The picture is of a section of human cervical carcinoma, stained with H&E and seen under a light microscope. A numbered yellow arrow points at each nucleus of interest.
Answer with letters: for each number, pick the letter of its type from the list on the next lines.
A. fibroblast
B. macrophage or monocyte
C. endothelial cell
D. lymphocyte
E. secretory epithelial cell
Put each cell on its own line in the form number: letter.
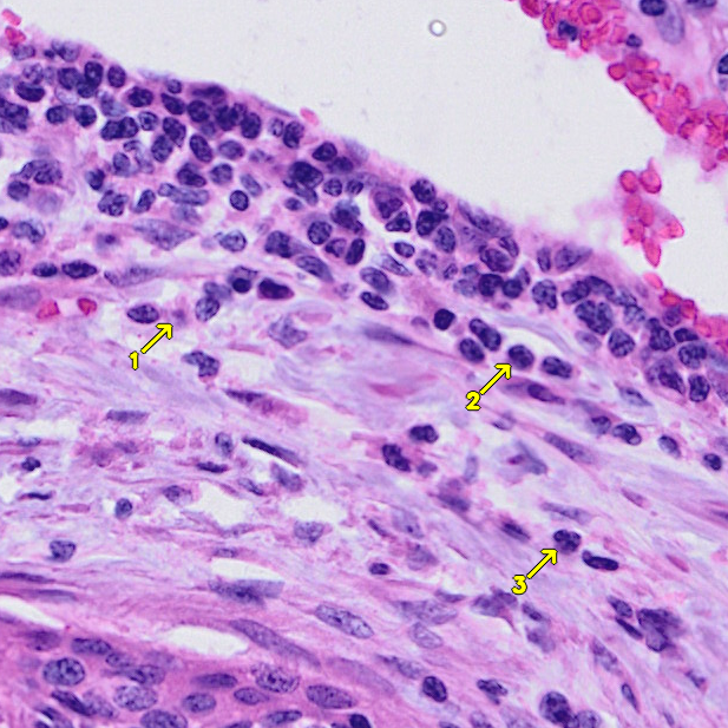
1: B
2: D
3: D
